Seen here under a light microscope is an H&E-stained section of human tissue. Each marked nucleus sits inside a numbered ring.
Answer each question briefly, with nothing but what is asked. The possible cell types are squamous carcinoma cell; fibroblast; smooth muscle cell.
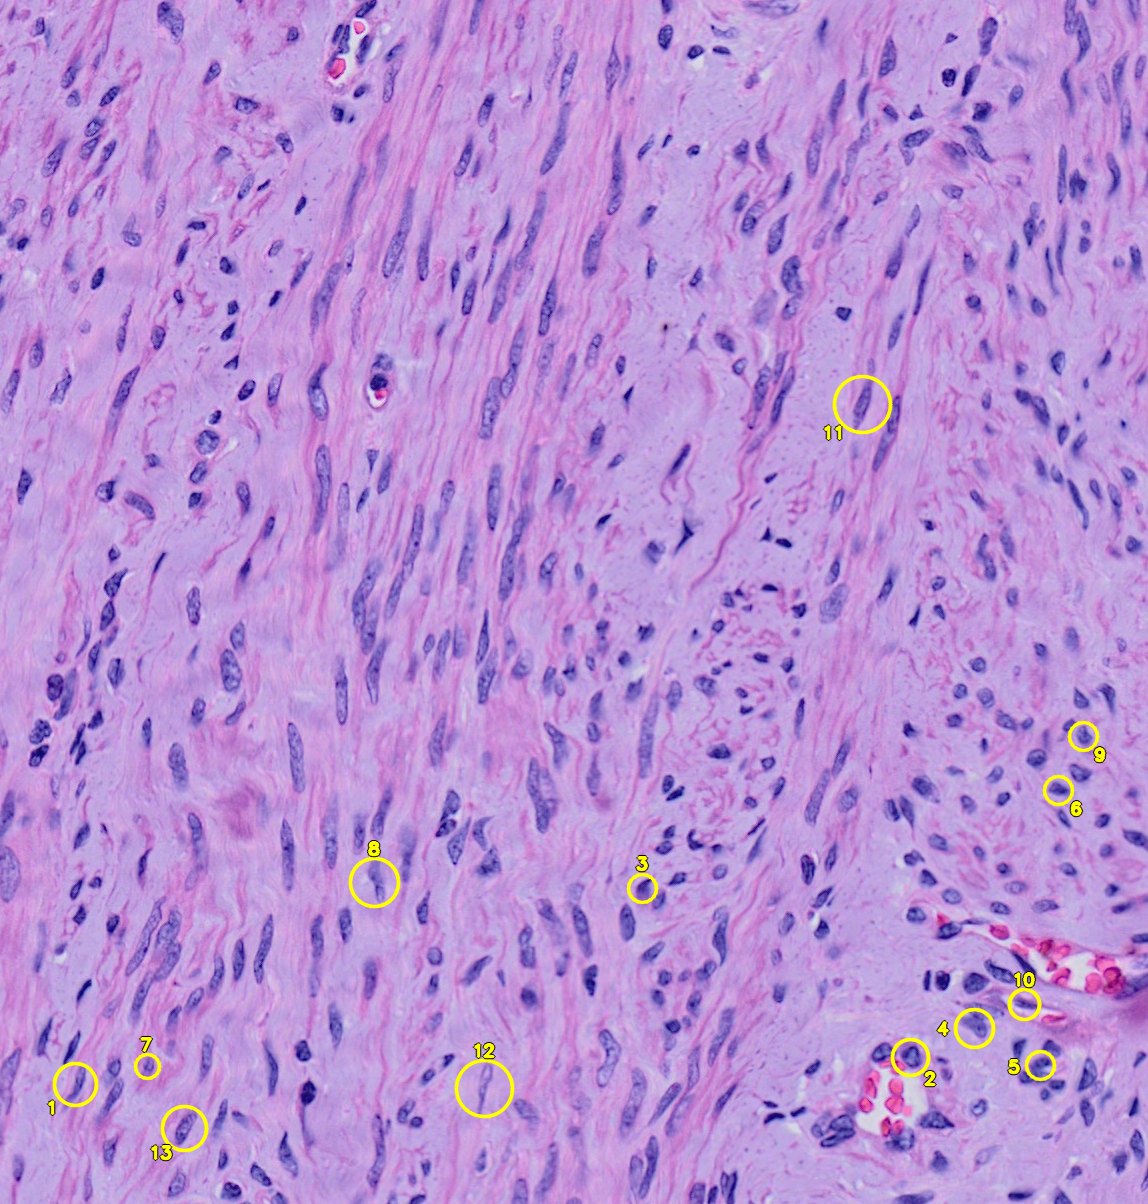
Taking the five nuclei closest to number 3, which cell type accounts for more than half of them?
smooth muscle cell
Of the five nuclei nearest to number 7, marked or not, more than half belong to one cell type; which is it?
smooth muscle cell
